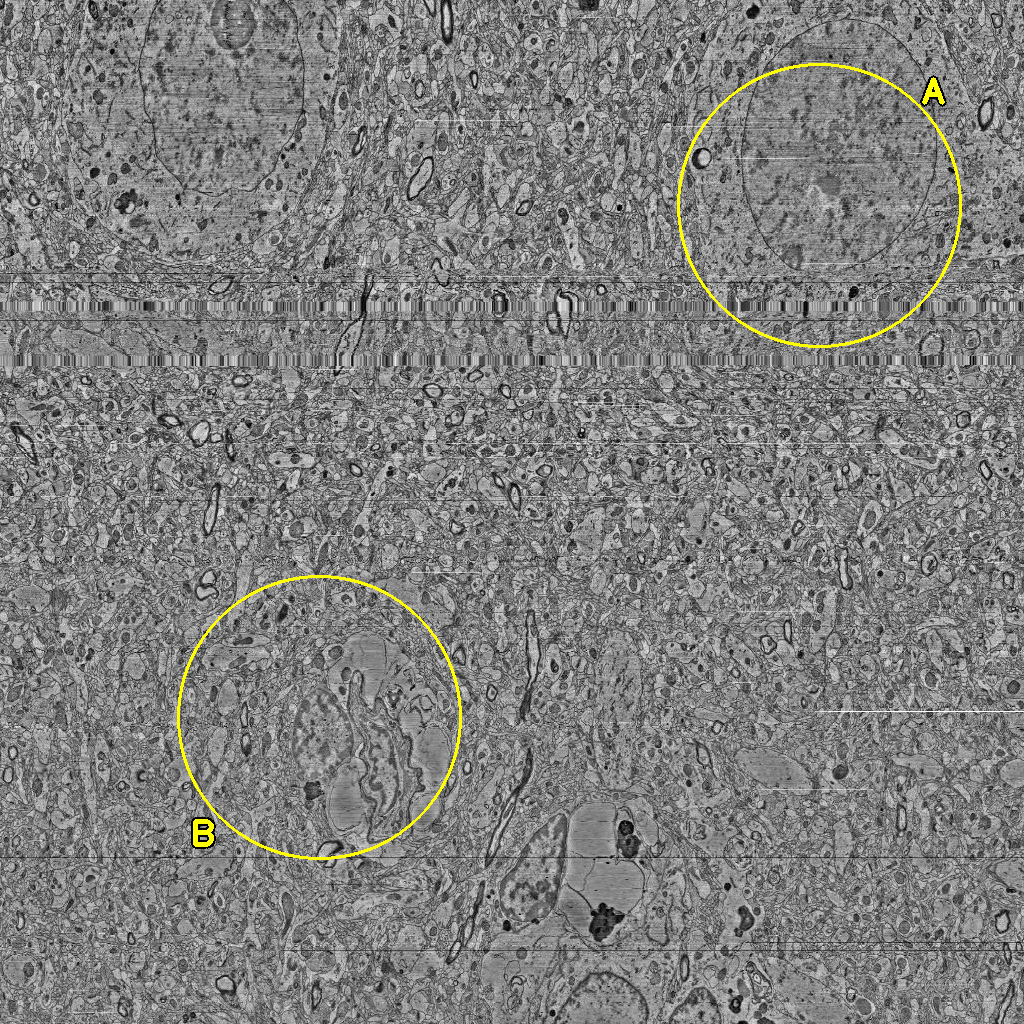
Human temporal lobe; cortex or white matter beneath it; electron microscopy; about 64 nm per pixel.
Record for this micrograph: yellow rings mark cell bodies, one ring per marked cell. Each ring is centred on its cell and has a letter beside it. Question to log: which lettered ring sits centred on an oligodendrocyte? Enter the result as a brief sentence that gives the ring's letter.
Ring B holds it at its centre.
